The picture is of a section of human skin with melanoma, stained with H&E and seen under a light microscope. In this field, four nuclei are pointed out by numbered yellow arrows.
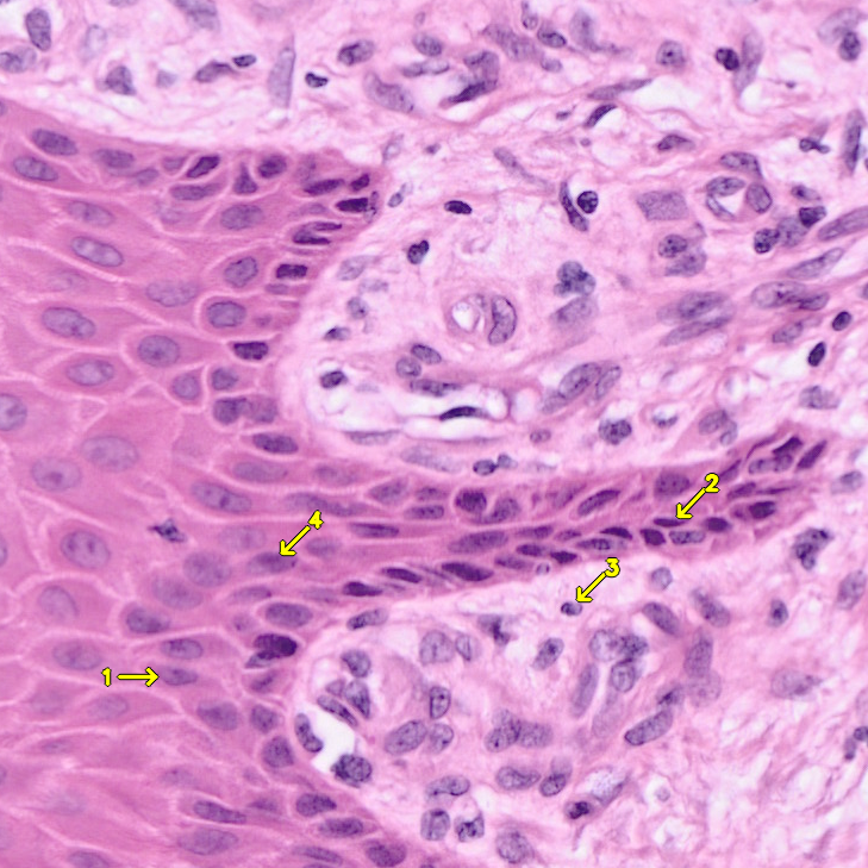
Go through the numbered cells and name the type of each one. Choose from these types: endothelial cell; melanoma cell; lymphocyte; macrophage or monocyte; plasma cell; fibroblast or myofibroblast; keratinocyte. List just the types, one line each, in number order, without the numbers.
keratinocyte
keratinocyte
lymphocyte
keratinocyte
